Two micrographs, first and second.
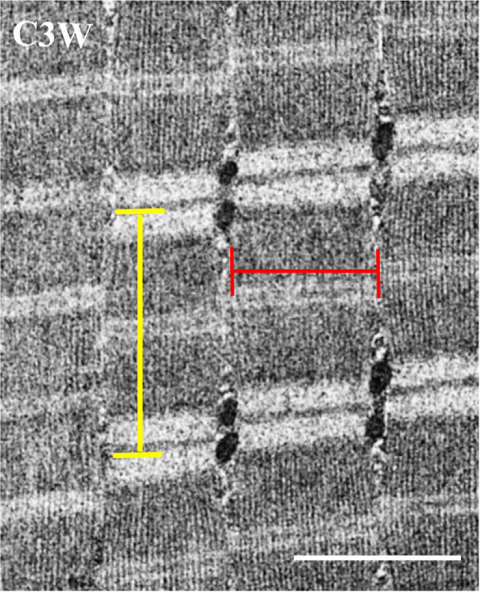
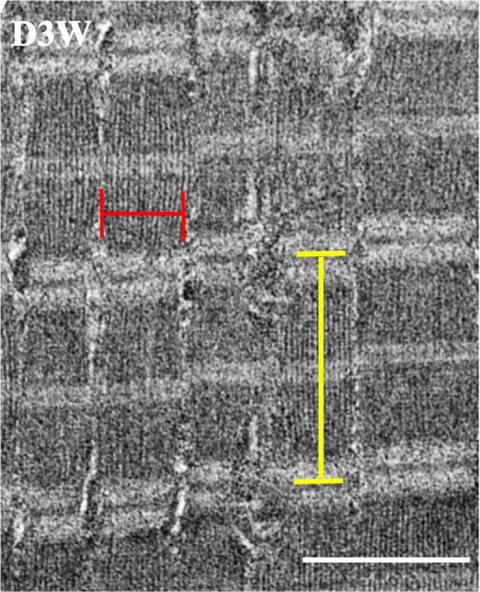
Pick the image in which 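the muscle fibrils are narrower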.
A: the second image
